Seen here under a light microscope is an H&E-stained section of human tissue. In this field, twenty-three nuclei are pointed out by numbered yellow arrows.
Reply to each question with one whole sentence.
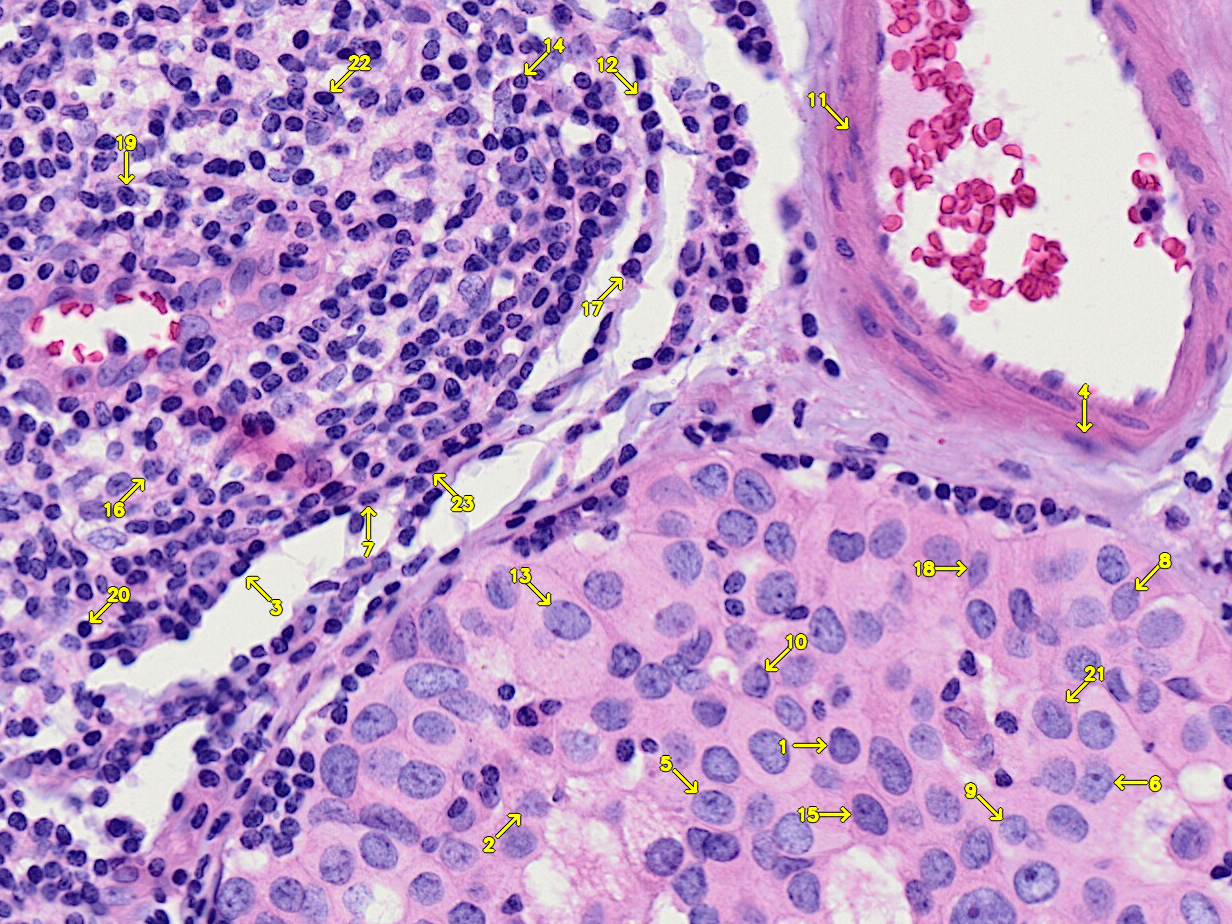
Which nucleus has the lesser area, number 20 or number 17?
With nucleus 17 about 1.5 times its size, nucleus 20 is the smaller of the two.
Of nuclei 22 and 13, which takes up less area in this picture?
The smaller nucleus is 22, and 13 covers roughly 4 times its area.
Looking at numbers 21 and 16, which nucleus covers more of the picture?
The larger nucleus is 21, at roughly 3 times the area of 16.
